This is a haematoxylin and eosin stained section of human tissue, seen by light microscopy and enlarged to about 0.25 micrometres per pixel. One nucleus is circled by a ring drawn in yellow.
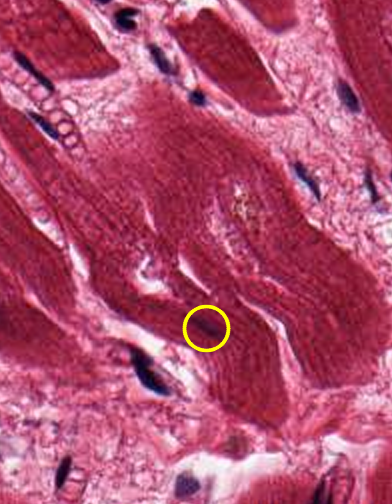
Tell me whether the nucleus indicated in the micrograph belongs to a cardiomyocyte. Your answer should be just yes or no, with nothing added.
yes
